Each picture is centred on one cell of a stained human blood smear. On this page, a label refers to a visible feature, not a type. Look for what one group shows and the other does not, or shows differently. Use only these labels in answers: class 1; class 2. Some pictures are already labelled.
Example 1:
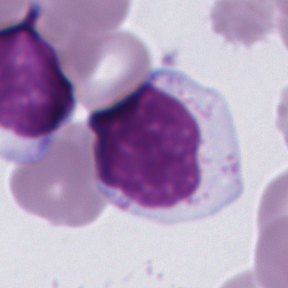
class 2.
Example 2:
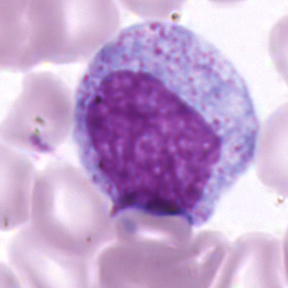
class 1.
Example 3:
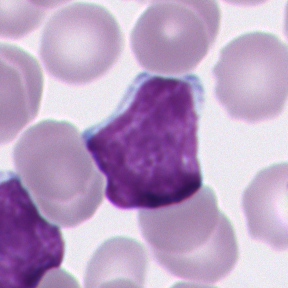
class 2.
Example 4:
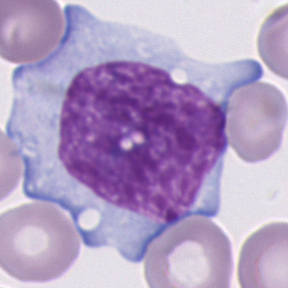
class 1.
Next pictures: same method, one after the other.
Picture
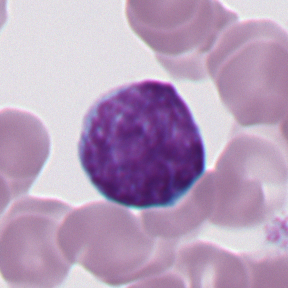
class 2.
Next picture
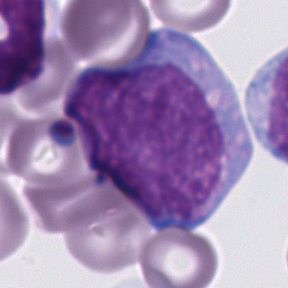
class 2.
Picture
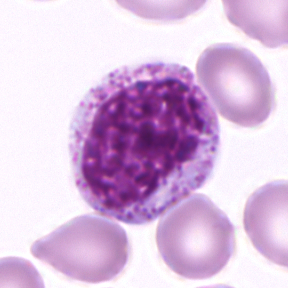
class 2.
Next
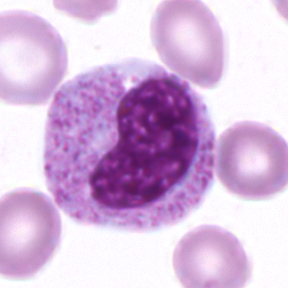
class 1.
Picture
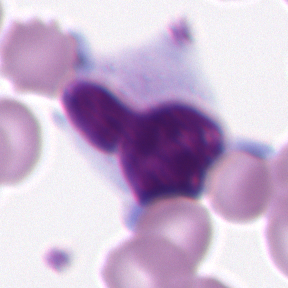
class 1.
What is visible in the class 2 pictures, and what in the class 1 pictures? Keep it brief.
In class 2: scant cytoplasm. In class 1: abundant cytoplasm.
